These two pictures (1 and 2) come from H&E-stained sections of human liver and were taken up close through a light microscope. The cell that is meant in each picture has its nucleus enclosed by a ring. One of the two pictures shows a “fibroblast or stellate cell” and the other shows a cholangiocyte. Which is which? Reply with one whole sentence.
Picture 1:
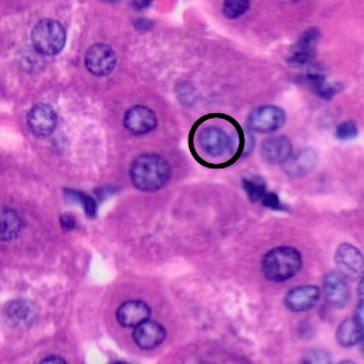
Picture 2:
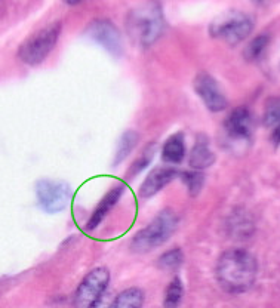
Picture 1 is of a cholangiocyte, and picture 2 is of a “fibroblast or stellate cell”.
